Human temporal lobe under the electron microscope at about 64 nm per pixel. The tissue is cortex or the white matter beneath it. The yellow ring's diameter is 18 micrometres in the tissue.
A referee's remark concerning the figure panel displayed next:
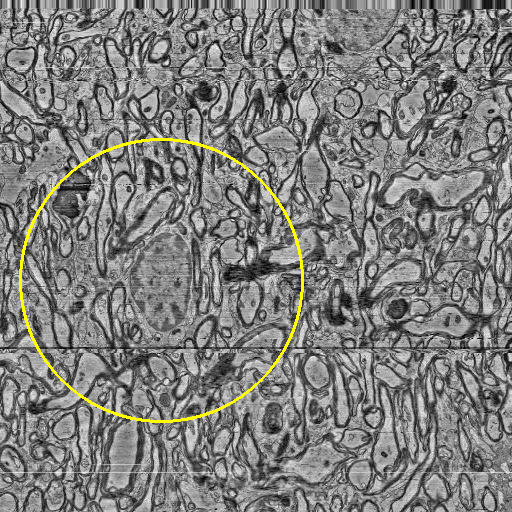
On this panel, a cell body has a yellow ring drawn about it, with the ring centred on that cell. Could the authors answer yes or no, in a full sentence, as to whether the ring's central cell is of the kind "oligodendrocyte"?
No, the cell sitting at the middle of the ring on this panel belongs to a different kind.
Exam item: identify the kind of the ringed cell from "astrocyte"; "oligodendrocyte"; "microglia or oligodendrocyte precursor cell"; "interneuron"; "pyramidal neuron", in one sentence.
Sitting at the ring centre is a microglial cell or oligodendrocyte precursor cell.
